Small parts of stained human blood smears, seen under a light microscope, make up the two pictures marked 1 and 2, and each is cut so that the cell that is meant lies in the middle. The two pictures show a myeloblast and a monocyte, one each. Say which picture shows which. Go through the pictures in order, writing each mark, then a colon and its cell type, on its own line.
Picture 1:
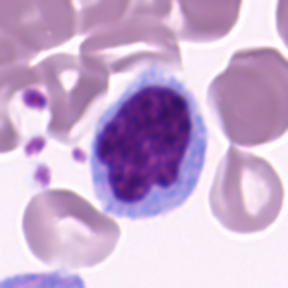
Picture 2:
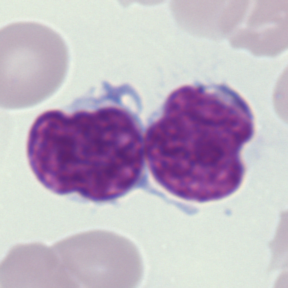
1: monocyte
2: myeloblast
